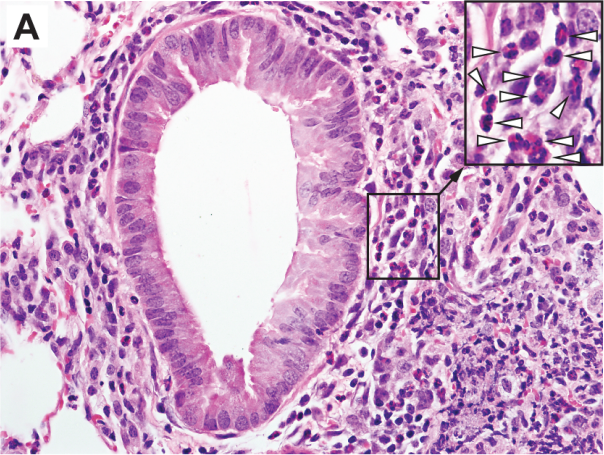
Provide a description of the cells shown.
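A small airway of the lung in cross section is lined by a tall columnar epithelium with basally placed oval nuclei and pale pink cytoplasm. Around the airway the connective tissue is thickened and crowded with inflammatory cells with dark nuclei. An enlarged inset shows many of these cells with lobed nuclei and red-pink granular cytoplasm, typical of eosinophils, marked by open arrowheads. Toward the lower right the infiltrate becomes dense and fills the tissue between airway and alveoli. Alveolar spaces with thin walls are seen at the left edge.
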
